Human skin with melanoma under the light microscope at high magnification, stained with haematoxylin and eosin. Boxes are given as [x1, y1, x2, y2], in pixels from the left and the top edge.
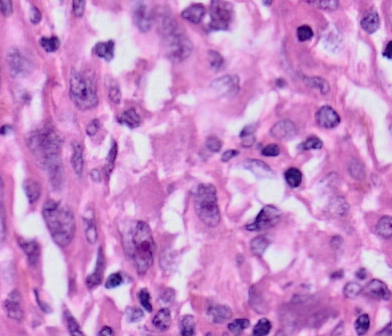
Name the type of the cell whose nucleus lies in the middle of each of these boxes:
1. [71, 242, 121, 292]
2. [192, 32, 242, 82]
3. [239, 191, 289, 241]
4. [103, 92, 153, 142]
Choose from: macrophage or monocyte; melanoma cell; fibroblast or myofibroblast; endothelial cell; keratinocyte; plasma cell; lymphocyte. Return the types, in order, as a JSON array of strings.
["melanoma cell", "macrophage or monocyte", "melanoma cell", "melanoma cell"]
